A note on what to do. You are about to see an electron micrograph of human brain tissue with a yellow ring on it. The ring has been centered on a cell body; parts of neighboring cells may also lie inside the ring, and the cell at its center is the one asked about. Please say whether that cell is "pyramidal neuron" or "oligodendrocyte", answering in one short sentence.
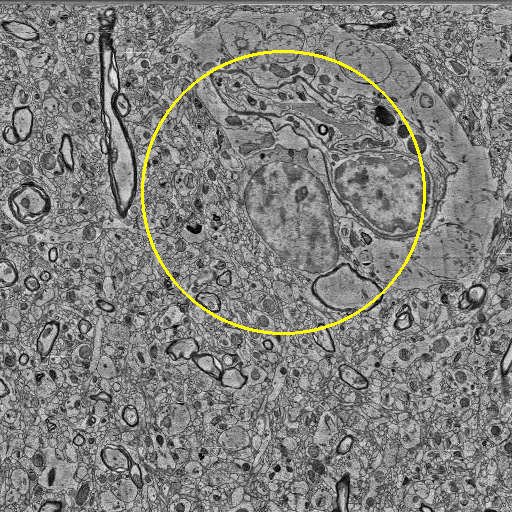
The yellow ring sits on an oligodendrocyte.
